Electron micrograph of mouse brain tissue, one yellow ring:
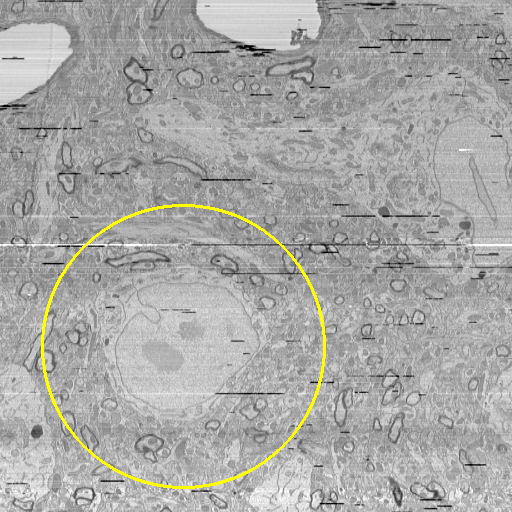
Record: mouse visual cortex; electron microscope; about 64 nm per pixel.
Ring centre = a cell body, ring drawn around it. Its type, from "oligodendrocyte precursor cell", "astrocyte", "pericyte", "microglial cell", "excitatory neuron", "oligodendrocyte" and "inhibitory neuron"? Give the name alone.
excitatory neuron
